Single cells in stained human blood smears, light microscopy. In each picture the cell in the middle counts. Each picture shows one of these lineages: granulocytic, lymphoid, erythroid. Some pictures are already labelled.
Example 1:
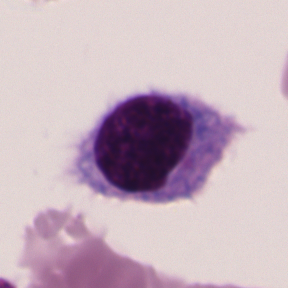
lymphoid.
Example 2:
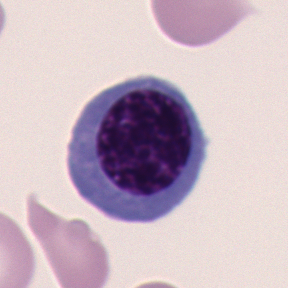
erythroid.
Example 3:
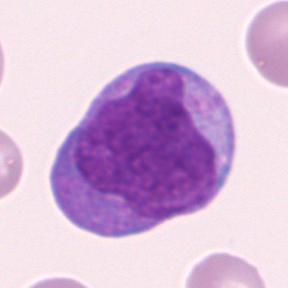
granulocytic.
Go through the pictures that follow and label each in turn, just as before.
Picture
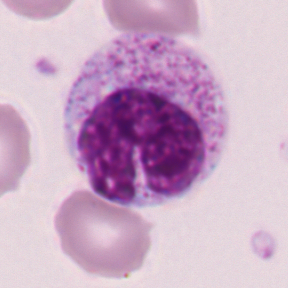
granulocytic.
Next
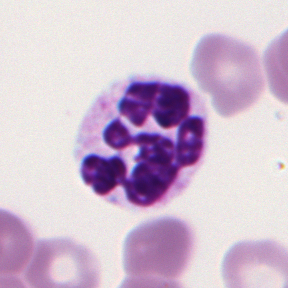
granulocytic.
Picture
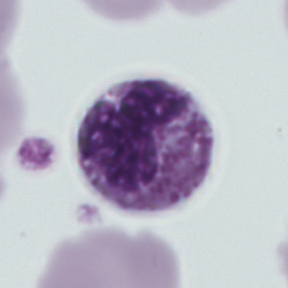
granulocytic.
